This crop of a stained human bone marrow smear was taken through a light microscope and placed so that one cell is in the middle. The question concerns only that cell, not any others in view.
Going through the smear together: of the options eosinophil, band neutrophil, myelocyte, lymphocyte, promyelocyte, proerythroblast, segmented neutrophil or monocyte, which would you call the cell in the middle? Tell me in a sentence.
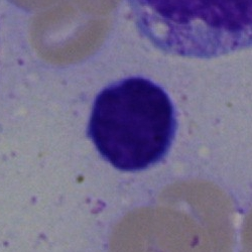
What sits at the centre of this crop is a lymphocyte.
